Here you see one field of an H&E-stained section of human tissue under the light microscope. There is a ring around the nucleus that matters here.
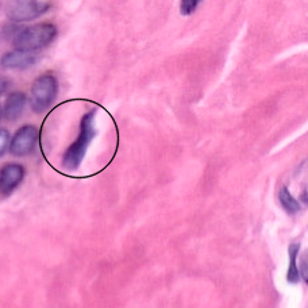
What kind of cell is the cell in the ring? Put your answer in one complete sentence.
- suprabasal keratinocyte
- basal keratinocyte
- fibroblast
The cell in the ring is a fibroblast.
